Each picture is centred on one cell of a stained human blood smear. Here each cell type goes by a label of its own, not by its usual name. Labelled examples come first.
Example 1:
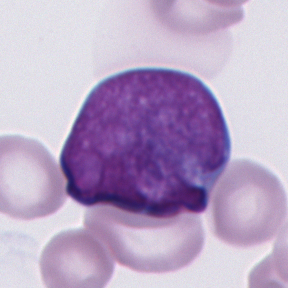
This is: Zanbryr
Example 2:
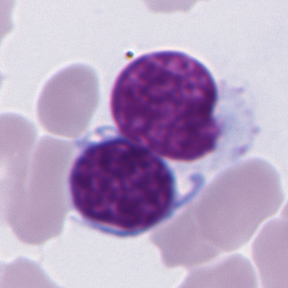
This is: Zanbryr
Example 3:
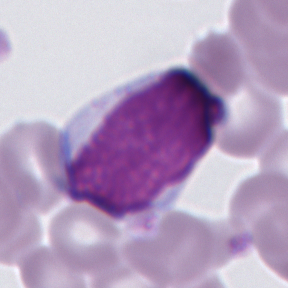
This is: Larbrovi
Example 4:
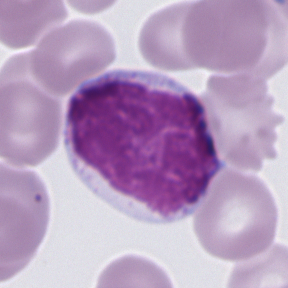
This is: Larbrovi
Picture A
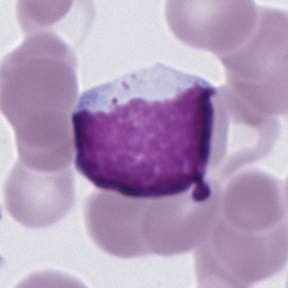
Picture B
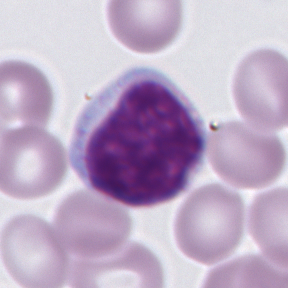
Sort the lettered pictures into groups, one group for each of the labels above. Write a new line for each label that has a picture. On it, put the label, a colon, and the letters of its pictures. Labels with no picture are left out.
Larbrovi: A, B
